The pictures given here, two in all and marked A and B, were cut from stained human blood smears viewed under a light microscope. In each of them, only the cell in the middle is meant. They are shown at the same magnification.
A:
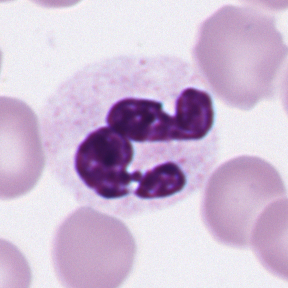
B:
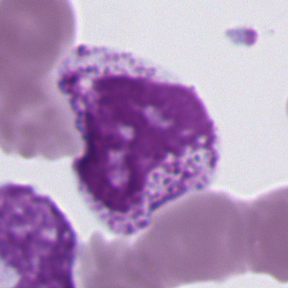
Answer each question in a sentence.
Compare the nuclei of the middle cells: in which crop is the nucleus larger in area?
Picture B shows the larger nucleus; it covers about 1.5 times the area of the nucleus in picture A.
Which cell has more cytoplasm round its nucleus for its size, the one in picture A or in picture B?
It is the cell in picture A that is filled less by its nucleus.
